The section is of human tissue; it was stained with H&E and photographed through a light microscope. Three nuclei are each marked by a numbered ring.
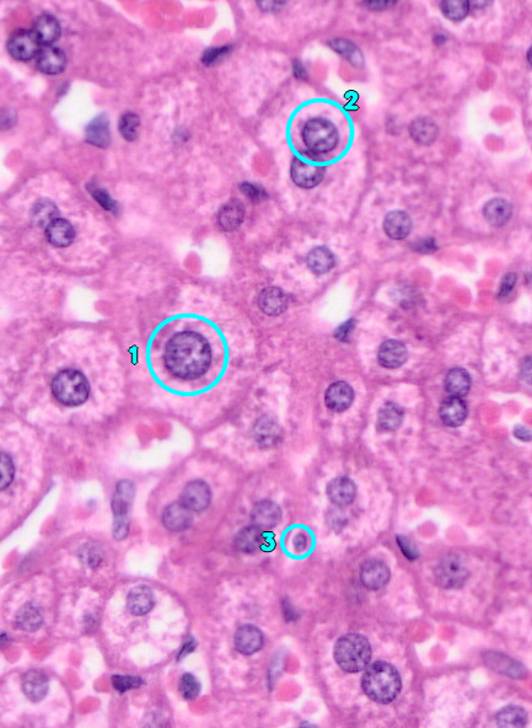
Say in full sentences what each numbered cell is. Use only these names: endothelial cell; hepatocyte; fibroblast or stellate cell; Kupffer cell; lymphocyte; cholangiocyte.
Cell 1 is a hepatocyte, cell 2 is a hepatocyte and cell 3 is a lymphocyte.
